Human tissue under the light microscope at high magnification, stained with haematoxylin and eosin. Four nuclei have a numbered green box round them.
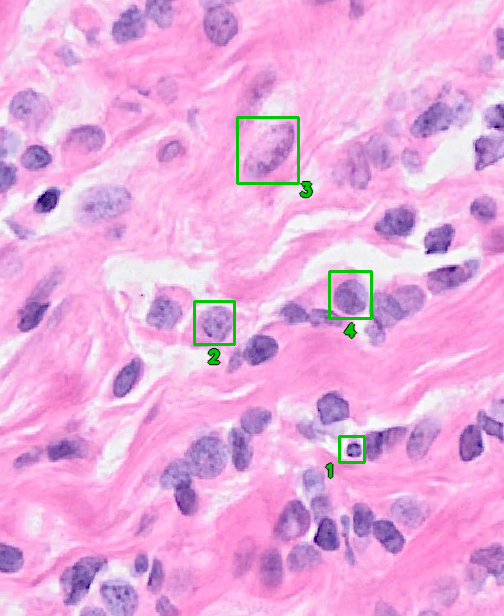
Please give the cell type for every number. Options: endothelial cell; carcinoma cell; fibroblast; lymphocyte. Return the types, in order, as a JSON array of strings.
["lymphocyte", "carcinoma cell", "fibroblast", "carcinoma cell"]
